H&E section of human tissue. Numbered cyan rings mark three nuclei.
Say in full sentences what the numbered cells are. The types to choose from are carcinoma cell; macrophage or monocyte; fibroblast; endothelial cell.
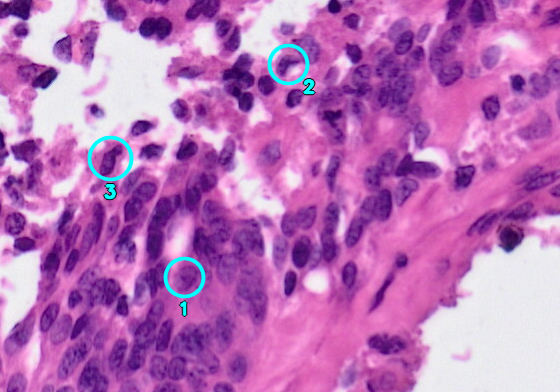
Cell 1 is a carcinoma cell, cell 2 is a macrophage or monocyte and cell 3 is a macrophage or monocyte.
